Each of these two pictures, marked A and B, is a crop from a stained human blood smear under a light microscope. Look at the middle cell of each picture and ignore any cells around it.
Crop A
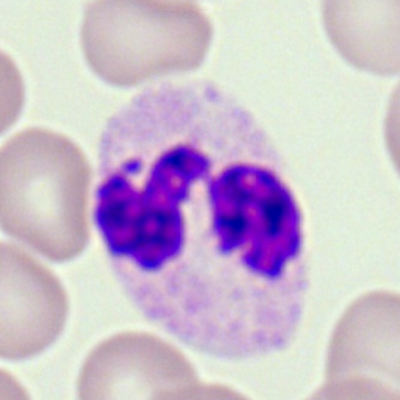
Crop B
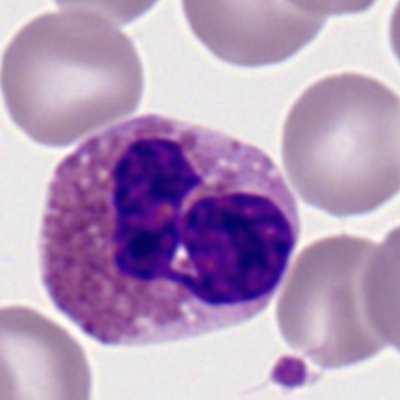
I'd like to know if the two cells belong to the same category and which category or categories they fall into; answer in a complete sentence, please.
No, crop A features a neutrophil, while crop B features an eosinophil.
